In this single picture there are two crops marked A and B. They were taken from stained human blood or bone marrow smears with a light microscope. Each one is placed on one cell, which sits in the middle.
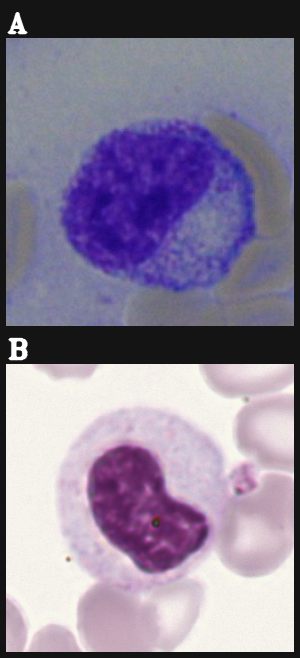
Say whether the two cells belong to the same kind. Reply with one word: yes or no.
yes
